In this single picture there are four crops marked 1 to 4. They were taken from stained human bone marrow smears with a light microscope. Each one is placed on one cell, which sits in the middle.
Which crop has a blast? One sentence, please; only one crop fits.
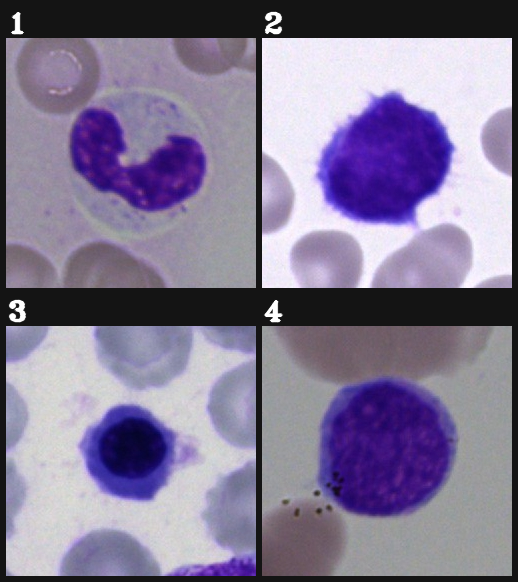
That would be crop 4; it shows a blast.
